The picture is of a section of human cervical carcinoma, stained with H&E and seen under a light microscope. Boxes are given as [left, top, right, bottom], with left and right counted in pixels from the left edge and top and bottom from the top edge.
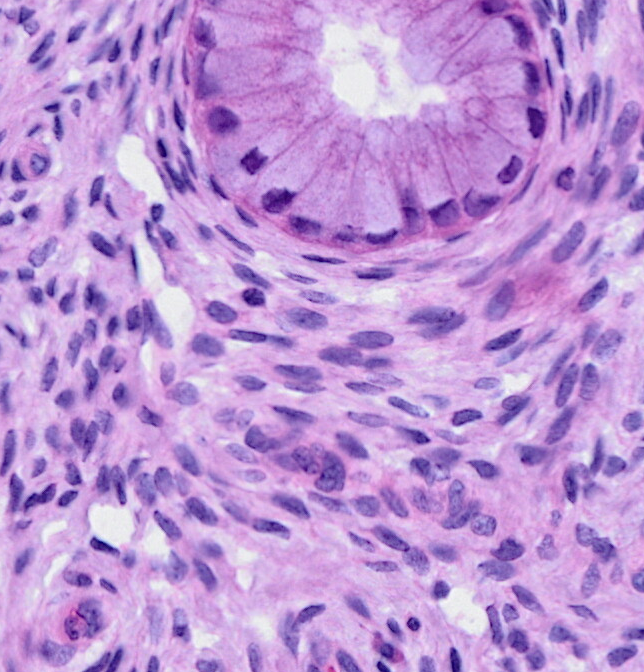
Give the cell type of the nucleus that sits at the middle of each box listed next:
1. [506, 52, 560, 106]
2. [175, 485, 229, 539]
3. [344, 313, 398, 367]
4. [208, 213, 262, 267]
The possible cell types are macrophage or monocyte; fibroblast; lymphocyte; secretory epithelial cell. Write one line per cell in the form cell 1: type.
cell 1: secretory epithelial cell
cell 2: fibroblast
cell 3: fibroblast
cell 4: fibroblast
